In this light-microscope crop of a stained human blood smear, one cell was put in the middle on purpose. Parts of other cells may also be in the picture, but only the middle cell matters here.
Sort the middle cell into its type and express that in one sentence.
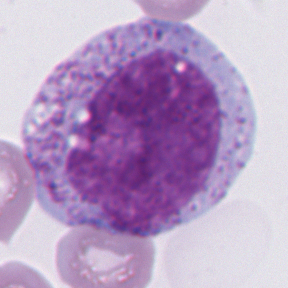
The cell at the heart of this crop is a promyelocyte.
